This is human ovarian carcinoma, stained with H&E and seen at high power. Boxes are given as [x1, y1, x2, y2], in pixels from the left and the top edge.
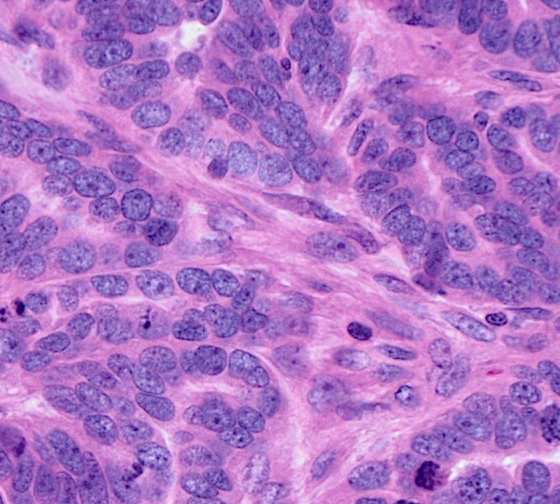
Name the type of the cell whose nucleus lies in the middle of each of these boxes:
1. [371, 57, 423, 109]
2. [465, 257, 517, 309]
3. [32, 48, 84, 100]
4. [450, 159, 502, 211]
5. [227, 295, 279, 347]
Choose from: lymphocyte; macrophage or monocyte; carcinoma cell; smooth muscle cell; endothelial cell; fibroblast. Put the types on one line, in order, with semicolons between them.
fibroblast; carcinoma cell; fibroblast; carcinoma cell; carcinoma cell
